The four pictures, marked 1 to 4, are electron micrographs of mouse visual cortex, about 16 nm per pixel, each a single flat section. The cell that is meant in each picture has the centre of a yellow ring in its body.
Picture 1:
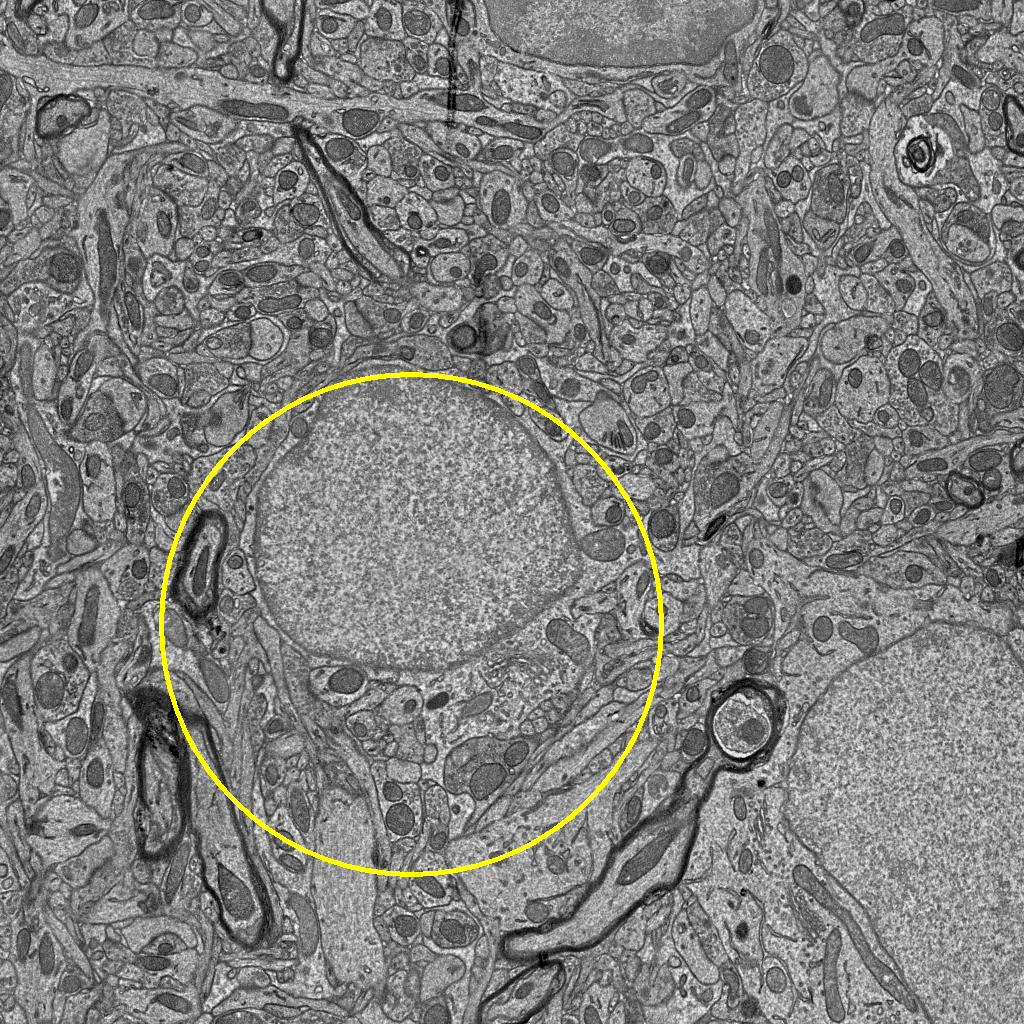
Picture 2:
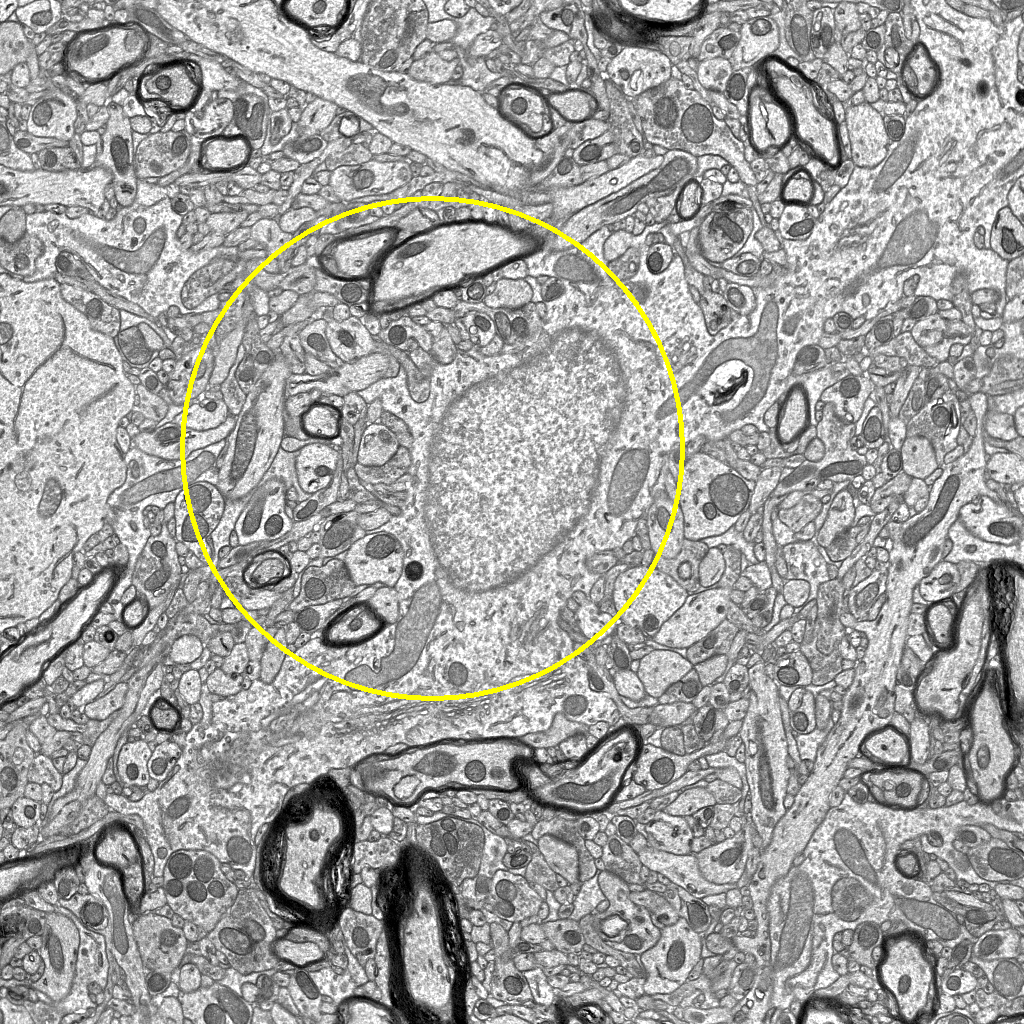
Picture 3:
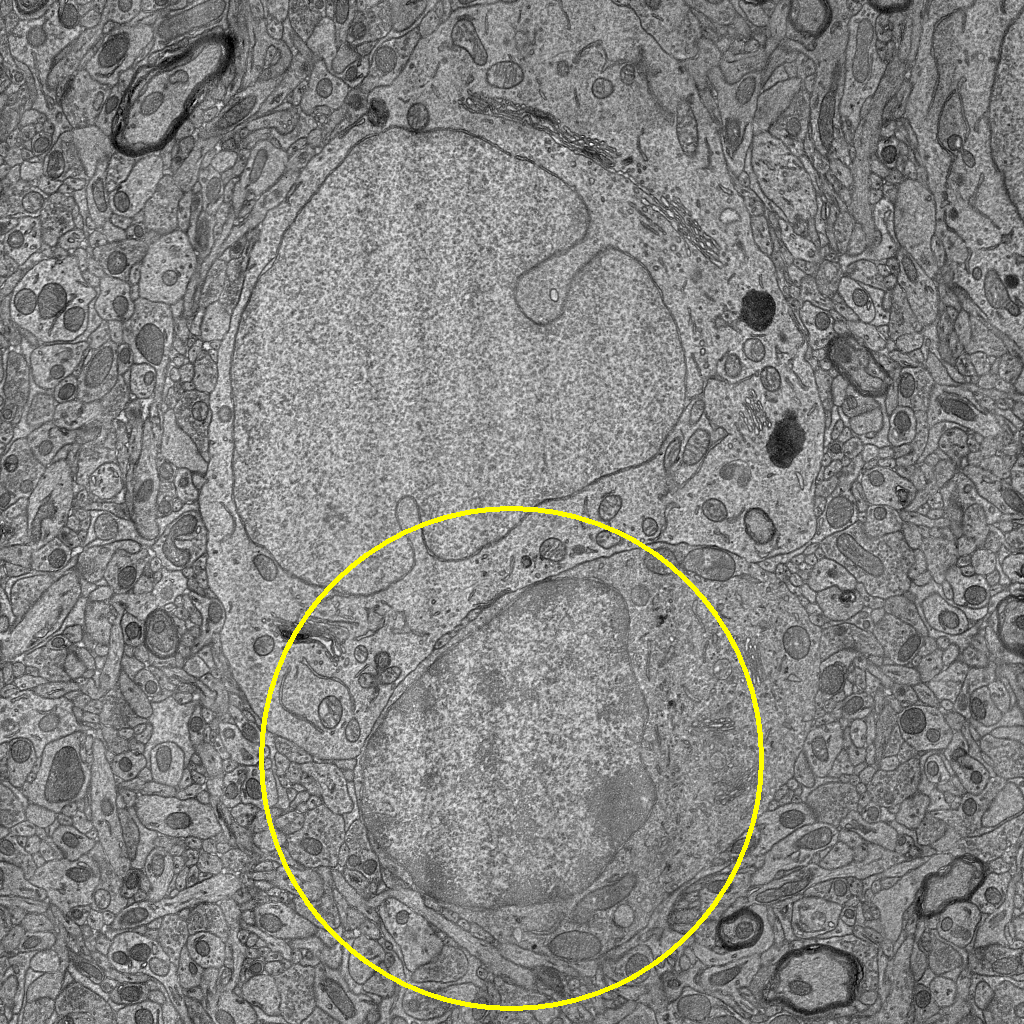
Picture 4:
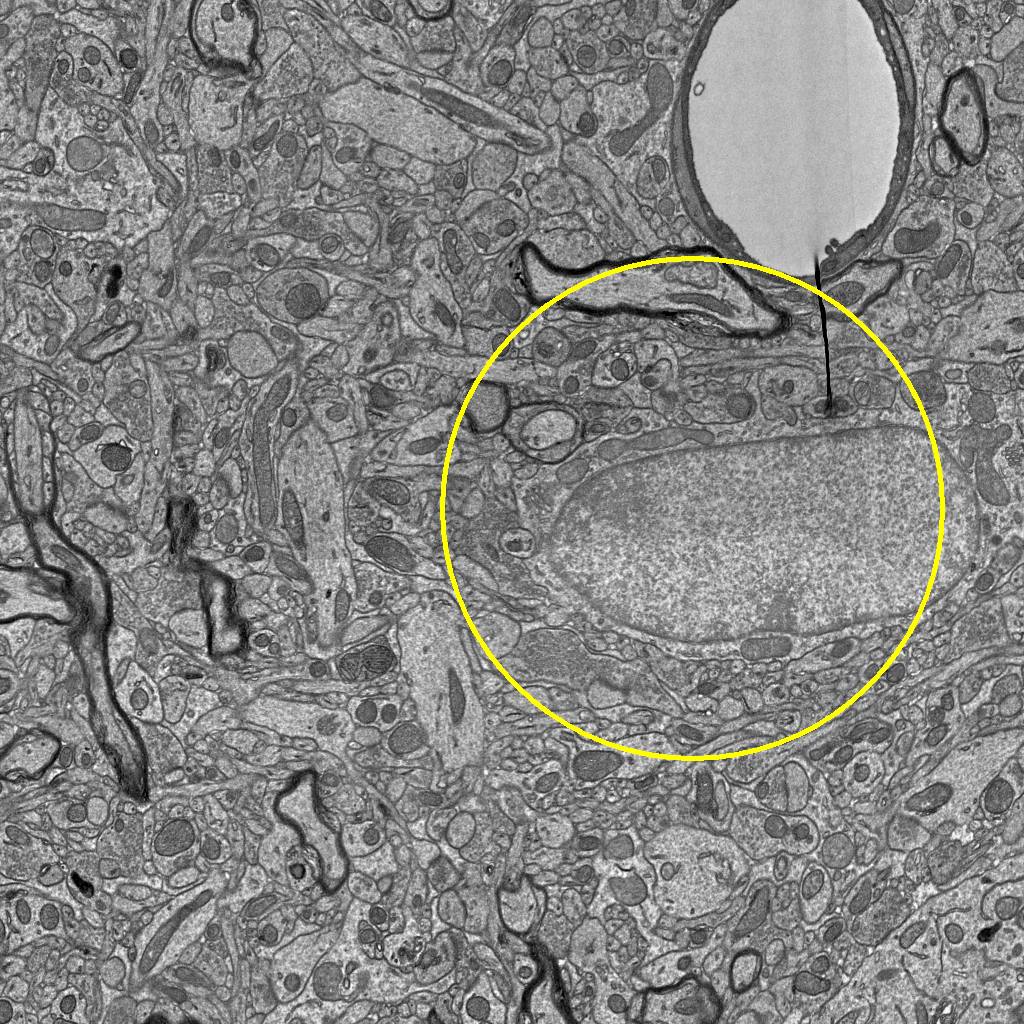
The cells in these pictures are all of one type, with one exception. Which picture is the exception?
All pictures except 3 show astrocytes; picture 3 shows an oligodendrocyte.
